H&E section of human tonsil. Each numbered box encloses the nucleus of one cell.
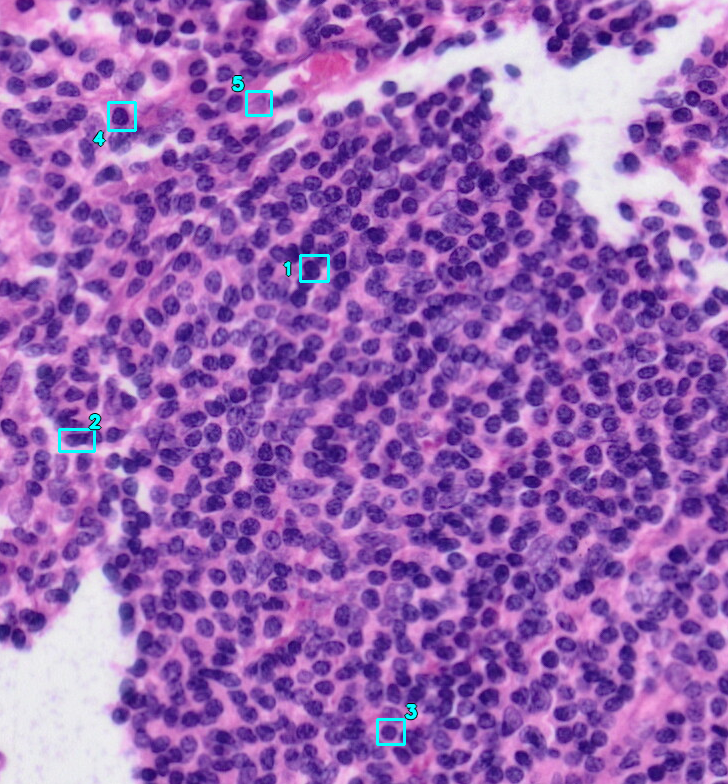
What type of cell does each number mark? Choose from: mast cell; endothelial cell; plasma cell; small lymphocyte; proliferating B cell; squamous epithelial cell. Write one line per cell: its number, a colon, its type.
1: small lymphocyte
2: small lymphocyte
3: small lymphocyte
4: plasma cell
5: endothelial cell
